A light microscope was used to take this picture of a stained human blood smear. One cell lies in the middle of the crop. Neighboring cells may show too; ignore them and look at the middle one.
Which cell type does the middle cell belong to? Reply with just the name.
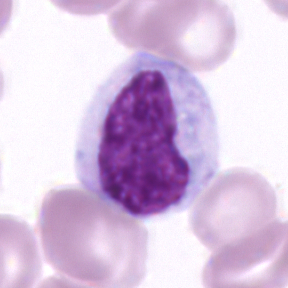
metamyelocyte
